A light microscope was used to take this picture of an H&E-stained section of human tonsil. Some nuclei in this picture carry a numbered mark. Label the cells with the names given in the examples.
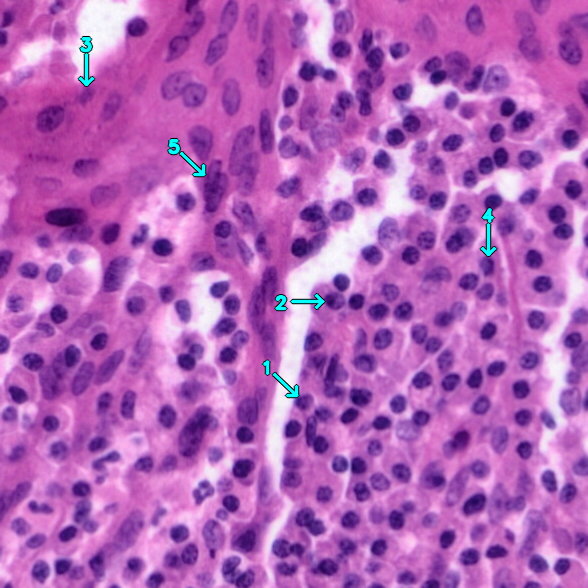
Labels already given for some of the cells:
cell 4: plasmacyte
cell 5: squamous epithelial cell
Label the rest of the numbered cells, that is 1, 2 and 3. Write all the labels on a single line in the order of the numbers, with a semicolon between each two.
plasmacyte; plasmacyte; squamous epithelial cell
